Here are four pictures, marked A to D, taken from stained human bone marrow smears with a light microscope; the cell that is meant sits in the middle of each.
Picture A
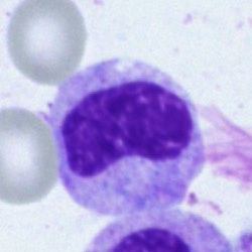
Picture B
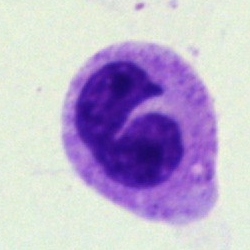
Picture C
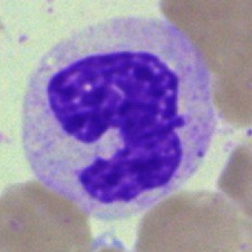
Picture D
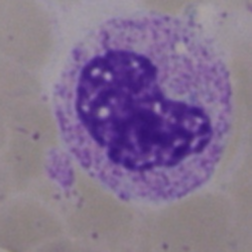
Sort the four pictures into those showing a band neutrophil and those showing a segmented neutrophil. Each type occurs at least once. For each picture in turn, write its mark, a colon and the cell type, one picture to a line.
A: band neutrophil
B: segmented neutrophil
C: segmented neutrophil
D: band neutrophil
